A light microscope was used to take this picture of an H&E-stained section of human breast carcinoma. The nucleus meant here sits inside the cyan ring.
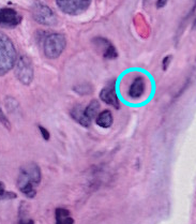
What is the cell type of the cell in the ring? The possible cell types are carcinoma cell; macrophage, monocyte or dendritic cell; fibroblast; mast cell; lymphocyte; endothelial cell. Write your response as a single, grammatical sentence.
Histopathologically, the cell in the ring is a mast cell.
